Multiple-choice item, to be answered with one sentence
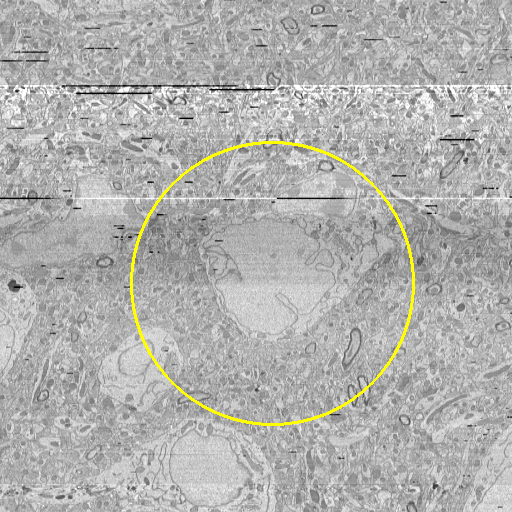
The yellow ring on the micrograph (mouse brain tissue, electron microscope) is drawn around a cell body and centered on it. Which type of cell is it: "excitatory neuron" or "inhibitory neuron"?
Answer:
The ring is centered on an inhibitory neuron.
